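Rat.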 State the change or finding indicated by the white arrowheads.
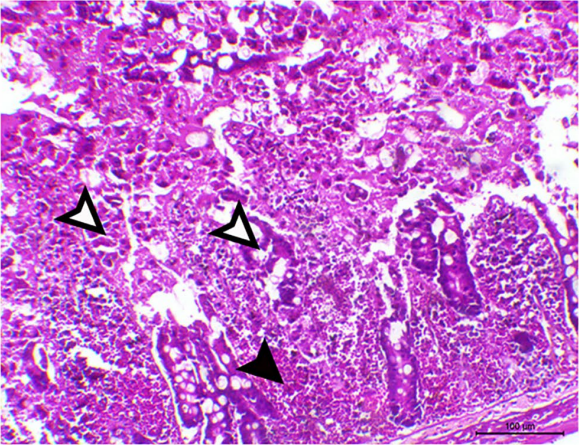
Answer: Hemorrhagic necrotic changes.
